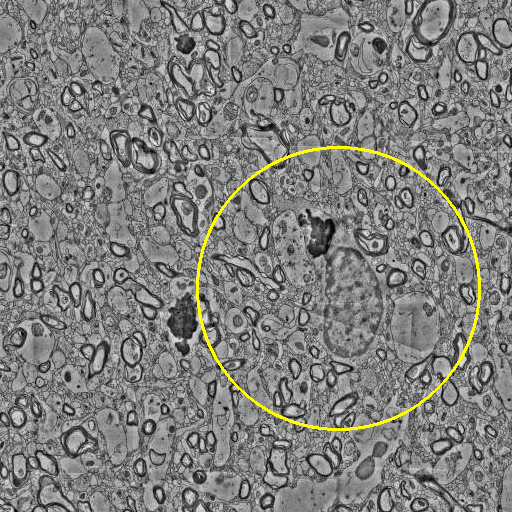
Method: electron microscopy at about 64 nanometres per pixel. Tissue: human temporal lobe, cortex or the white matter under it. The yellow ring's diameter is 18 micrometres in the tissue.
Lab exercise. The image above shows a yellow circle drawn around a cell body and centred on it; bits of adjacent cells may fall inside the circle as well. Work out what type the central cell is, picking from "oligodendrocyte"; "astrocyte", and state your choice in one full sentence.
In the image above, the cell at the centre of the yellow circle is an oligodendrocyte.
